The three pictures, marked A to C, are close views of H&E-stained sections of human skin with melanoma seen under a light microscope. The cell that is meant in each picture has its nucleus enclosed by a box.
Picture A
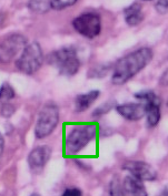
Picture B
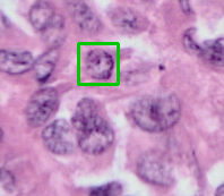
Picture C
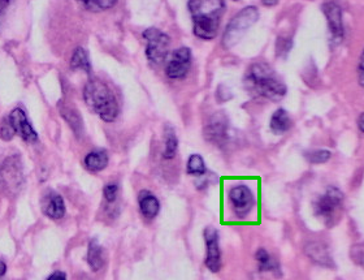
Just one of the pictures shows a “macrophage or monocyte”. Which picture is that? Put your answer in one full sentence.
Picture C is the one that shows the “macrophage or monocyte”.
